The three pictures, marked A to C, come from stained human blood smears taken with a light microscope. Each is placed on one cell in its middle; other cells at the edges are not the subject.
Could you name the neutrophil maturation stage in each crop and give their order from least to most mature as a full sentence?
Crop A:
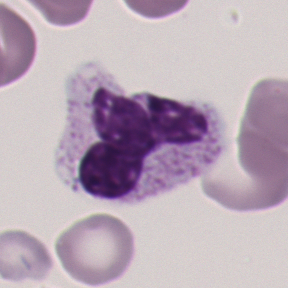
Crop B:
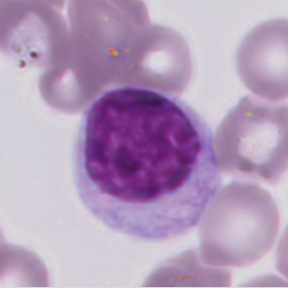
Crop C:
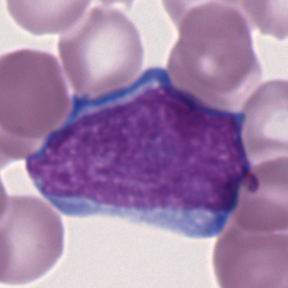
The sequence of maturation runs crop C (a myeloblast), crop B (a myelocyte) and crop A (a segmented neutrophil), from least to most mature.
